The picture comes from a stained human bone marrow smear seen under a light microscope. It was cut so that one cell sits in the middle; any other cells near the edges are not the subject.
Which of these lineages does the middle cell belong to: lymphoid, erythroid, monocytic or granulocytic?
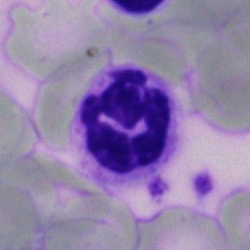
granulocytic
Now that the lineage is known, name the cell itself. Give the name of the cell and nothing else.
segmented neutrophil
